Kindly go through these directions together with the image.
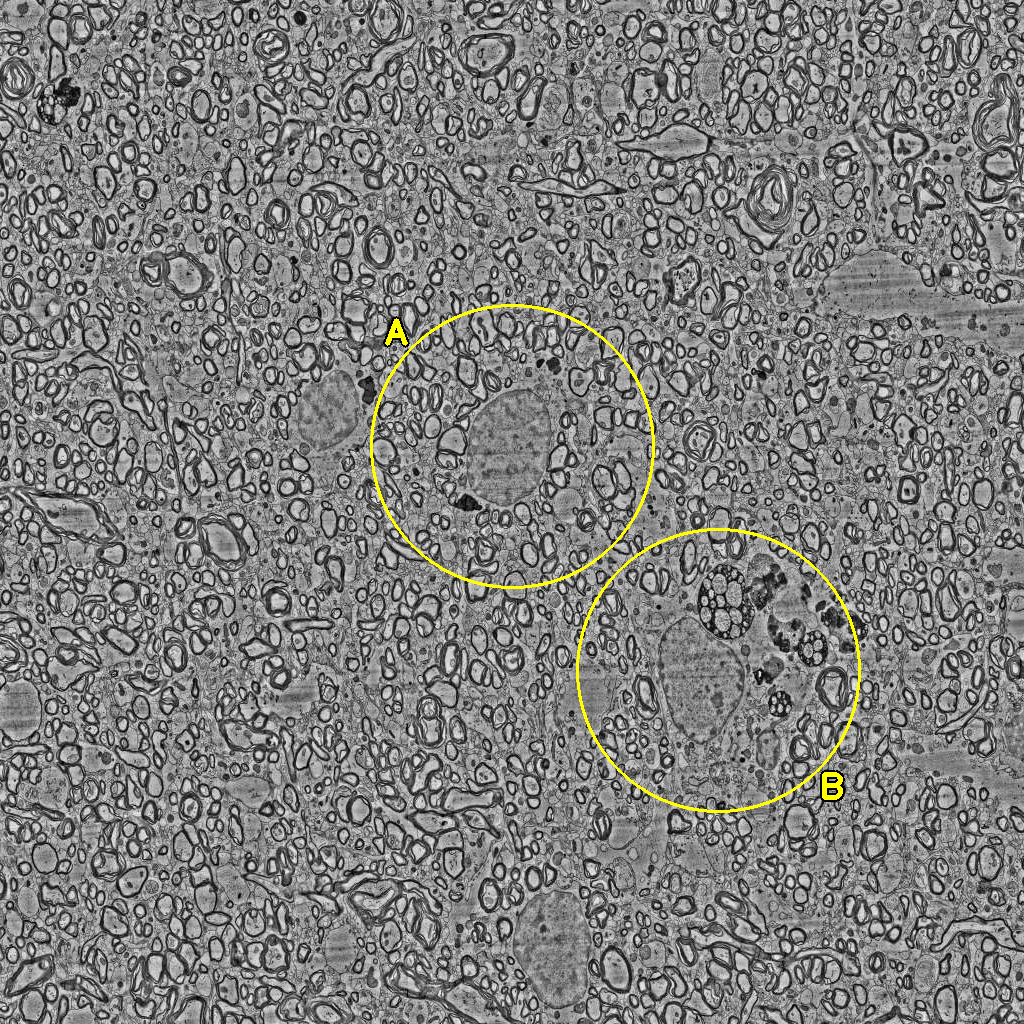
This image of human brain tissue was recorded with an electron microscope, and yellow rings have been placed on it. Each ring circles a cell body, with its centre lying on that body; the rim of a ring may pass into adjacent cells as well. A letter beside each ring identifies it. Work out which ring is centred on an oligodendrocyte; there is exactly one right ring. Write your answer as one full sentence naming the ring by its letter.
Ring A is the one whose centre lies on a cell of that kind.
